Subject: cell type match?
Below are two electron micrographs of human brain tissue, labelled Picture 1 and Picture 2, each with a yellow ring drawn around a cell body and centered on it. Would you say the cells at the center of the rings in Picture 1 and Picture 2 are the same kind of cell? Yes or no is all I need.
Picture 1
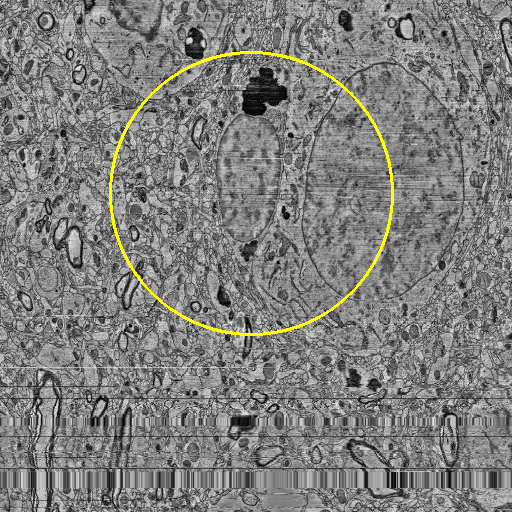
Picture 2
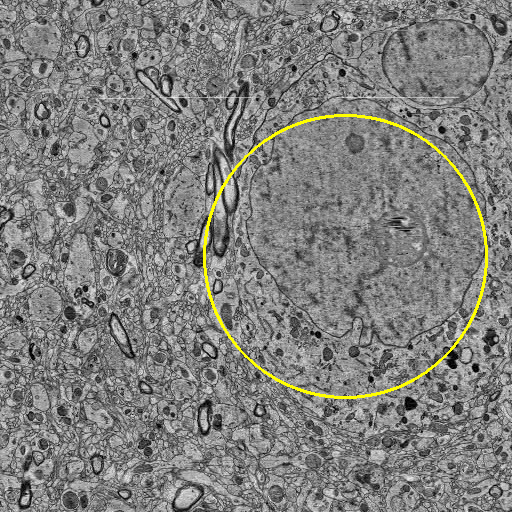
no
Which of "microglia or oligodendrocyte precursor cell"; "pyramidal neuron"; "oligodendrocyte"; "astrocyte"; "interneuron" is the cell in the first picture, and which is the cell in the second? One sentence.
The two differ: the first cell is an oligodendrocyte and the second is a pyramidal neuron.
